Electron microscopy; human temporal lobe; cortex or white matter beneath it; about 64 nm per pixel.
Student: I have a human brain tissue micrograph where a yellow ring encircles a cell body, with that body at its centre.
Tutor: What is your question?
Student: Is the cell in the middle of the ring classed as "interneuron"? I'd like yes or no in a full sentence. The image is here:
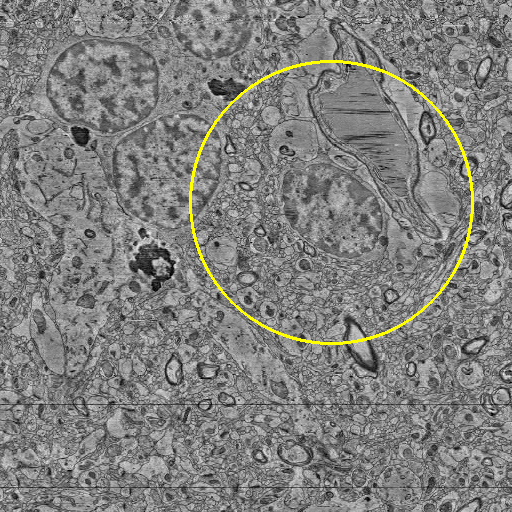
No, the ringed cell in the middle counts as another kind.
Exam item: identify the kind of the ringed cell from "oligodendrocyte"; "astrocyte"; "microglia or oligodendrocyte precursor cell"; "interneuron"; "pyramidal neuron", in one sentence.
The ringed cell in this picture is, instead, an oligodendrocyte.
